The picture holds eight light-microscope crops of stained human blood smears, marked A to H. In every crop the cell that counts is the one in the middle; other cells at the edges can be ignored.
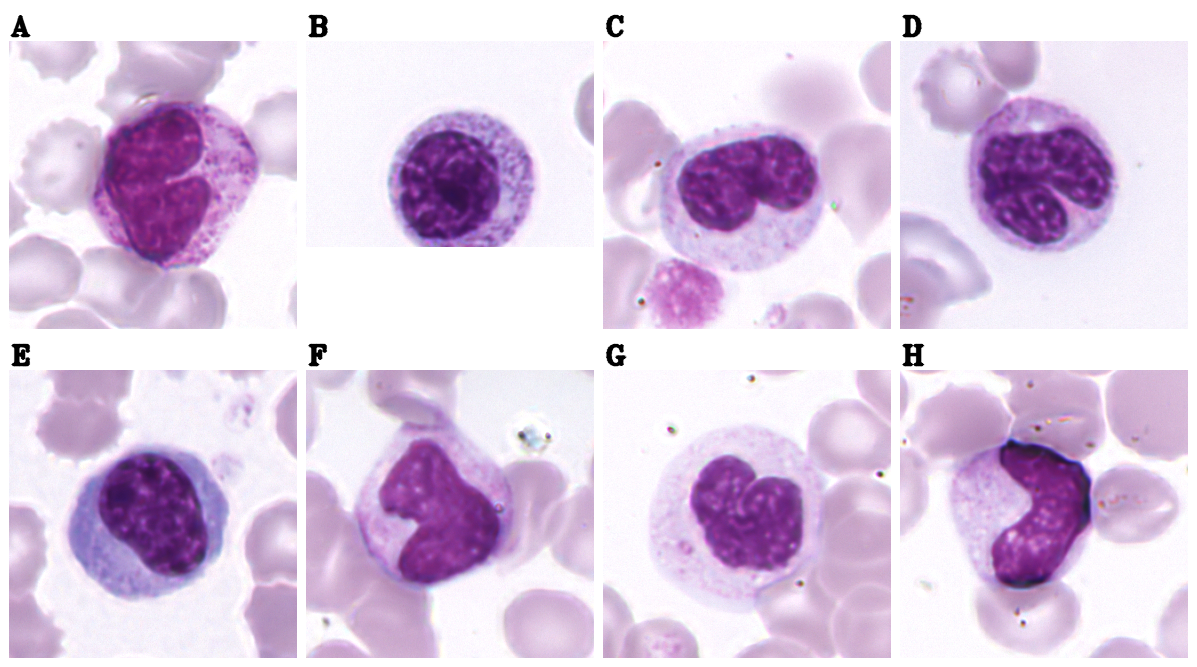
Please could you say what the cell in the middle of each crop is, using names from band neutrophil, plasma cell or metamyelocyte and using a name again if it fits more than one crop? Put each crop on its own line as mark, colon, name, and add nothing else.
A: band neutrophil
B: metamyelocyte
C: band neutrophil
D: band neutrophil
E: plasma cell
F: band neutrophil
G: band neutrophil
H: band neutrophil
